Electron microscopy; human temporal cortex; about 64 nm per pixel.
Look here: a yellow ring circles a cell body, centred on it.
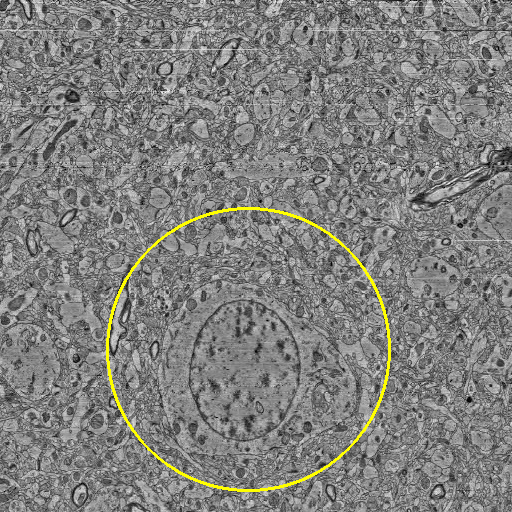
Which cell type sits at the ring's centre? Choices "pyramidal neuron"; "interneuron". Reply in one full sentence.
The cell at the centre of the yellow ring in the picture is a pyramidal neuron.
